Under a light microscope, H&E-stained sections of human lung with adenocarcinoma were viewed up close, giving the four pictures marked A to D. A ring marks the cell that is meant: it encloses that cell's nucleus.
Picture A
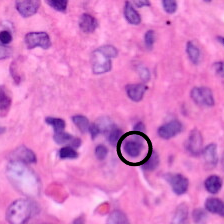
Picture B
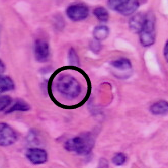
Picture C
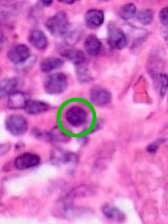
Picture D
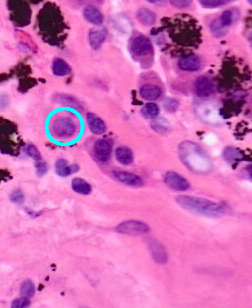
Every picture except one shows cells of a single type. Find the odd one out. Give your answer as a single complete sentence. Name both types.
All pictures except A show plasma cells; picture A shows a lymphocyte.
